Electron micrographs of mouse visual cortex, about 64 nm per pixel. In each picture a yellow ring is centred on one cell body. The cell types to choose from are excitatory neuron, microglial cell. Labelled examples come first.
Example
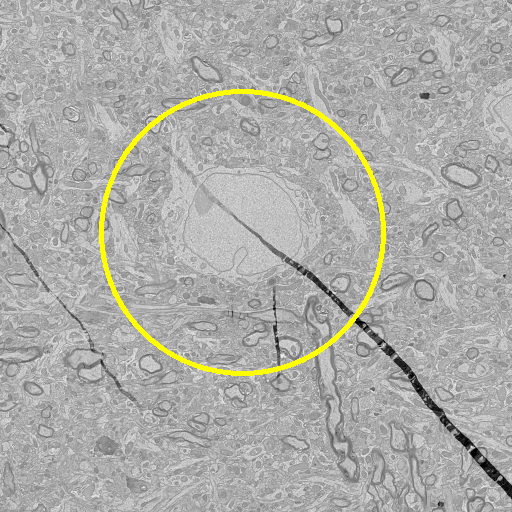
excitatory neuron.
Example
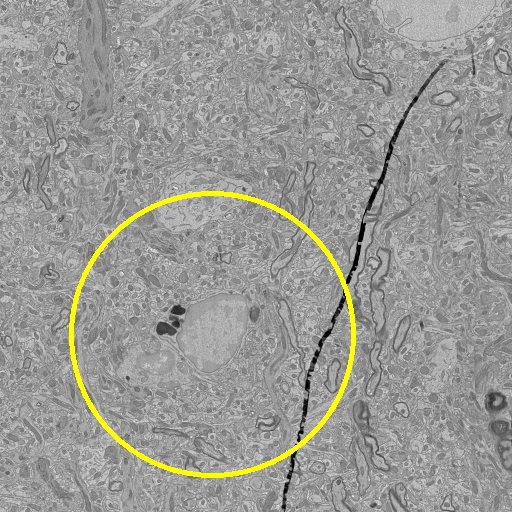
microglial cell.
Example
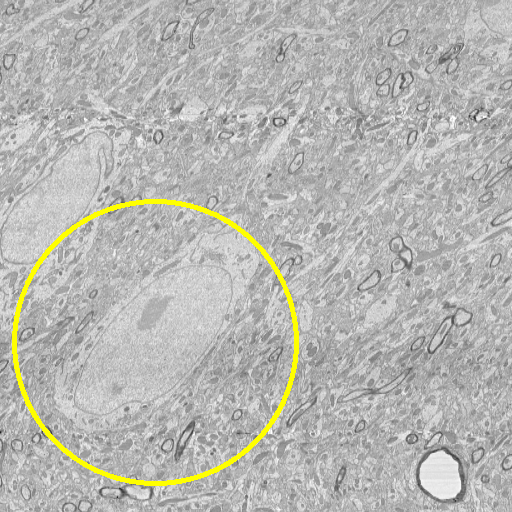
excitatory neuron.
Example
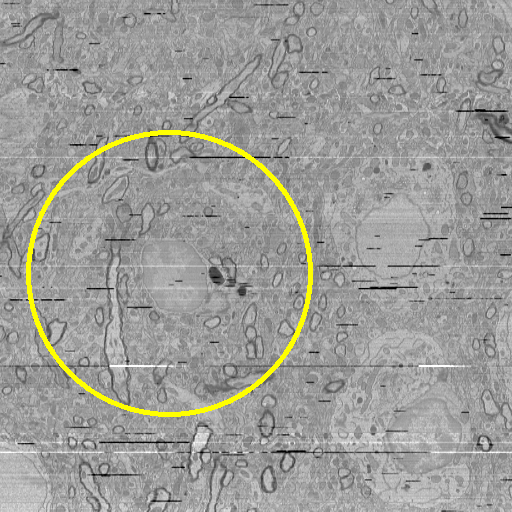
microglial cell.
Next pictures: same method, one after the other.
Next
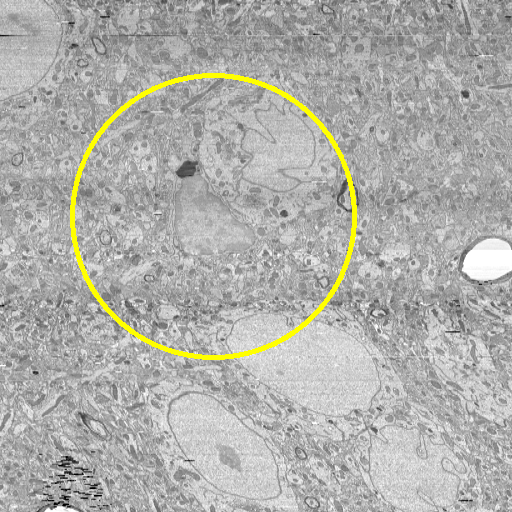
microglial cell.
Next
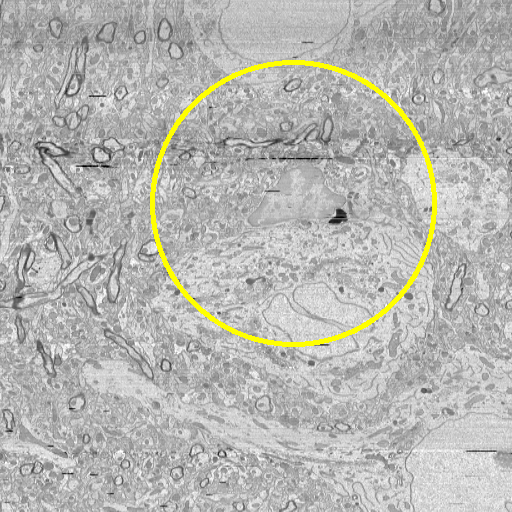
microglial cell.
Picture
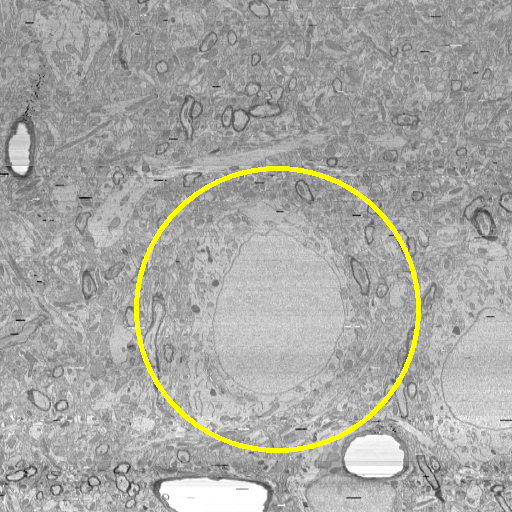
excitatory neuron.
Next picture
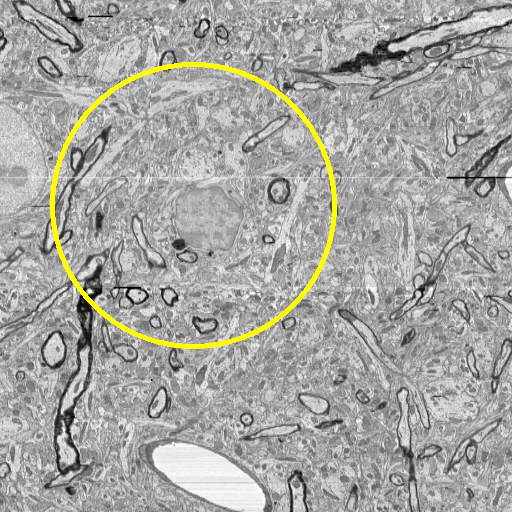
microglial cell.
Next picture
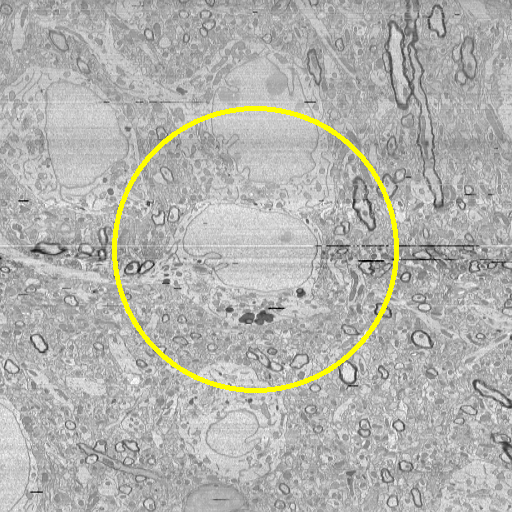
excitatory neuron.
